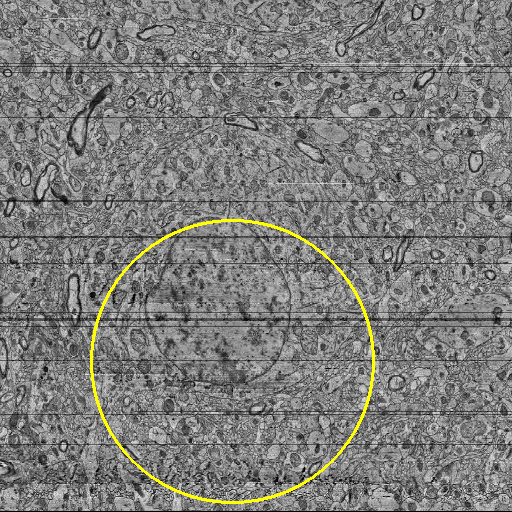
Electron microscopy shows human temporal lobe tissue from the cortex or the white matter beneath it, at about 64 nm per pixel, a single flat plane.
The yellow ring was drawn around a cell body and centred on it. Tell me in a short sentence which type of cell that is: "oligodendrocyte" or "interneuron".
The cell at the ring's centre is an interneuron.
